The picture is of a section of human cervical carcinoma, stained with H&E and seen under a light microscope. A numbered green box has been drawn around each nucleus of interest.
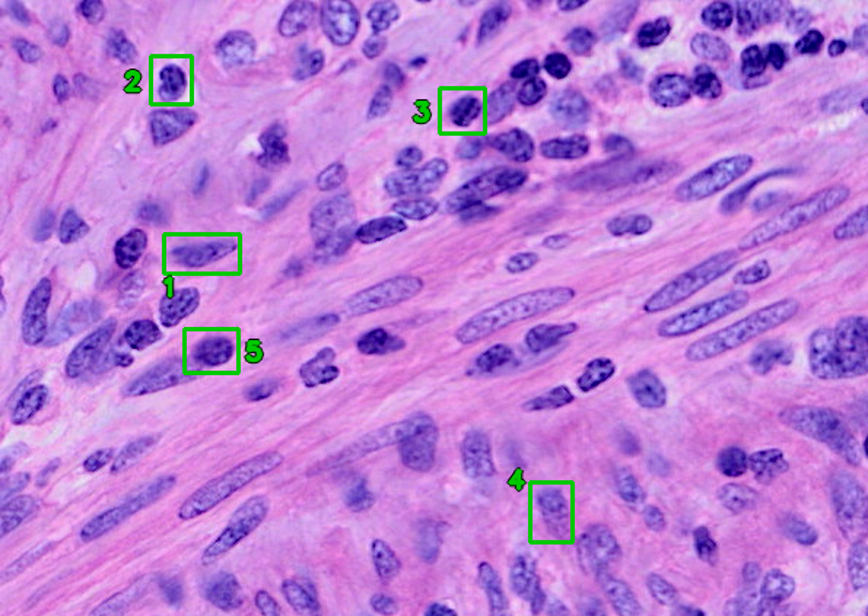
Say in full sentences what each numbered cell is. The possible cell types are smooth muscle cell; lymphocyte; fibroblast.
Cell 1 is a fibroblast, cell 2 is a lymphocyte, cell 3 is a lymphocyte, cell 4 is a smooth muscle cell and cell 5 is a lymphocyte.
